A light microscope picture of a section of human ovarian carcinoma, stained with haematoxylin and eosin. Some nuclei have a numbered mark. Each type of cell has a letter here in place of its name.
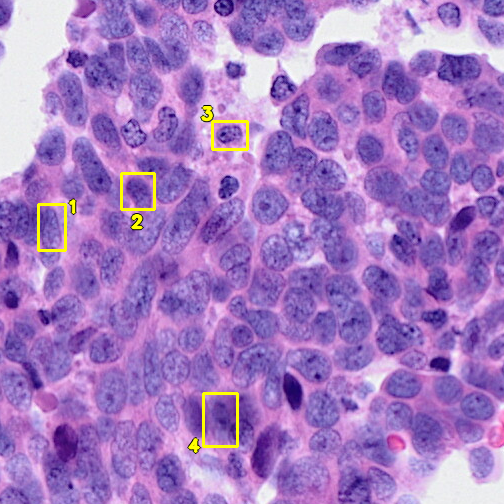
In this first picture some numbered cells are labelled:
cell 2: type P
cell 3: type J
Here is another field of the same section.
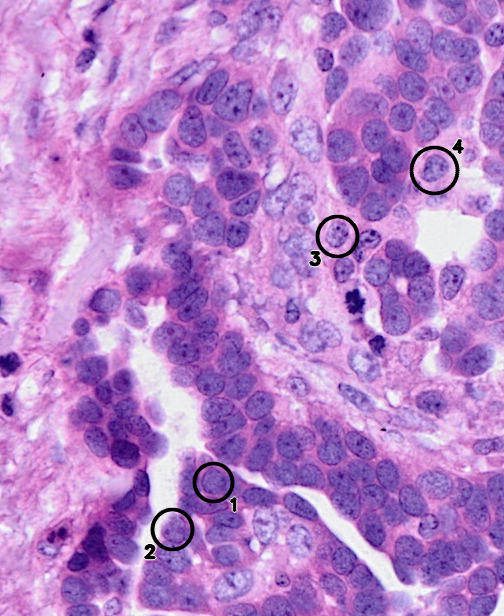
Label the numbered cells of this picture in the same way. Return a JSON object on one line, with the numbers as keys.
{"1": "type P", "2": "type P", "3": "type J", "4": "type J"}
